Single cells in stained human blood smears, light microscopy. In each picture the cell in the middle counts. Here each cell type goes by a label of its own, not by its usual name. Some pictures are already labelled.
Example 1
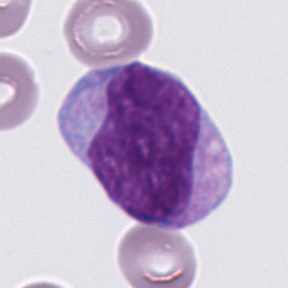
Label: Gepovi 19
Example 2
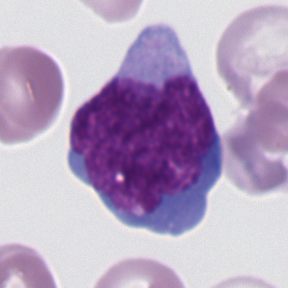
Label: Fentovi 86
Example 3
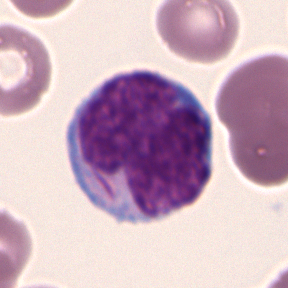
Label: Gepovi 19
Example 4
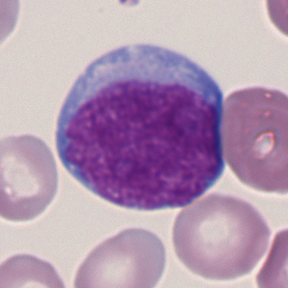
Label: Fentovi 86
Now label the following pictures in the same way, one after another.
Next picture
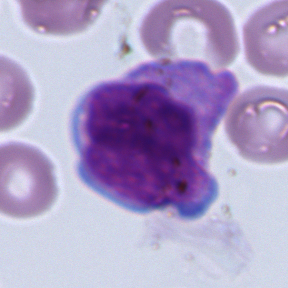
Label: Gepovi 19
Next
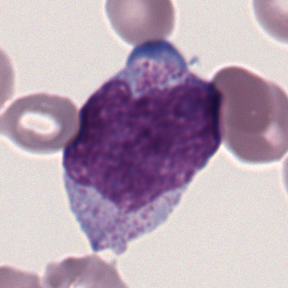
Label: Gepovi 19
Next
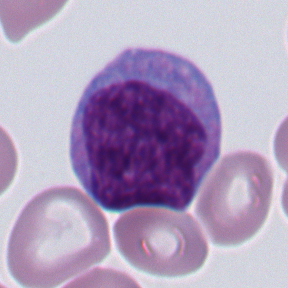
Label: Gepovi 19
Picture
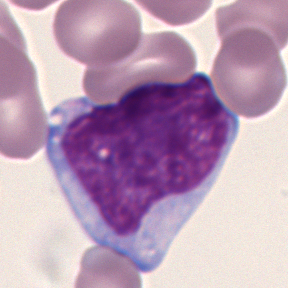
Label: Fentovi 86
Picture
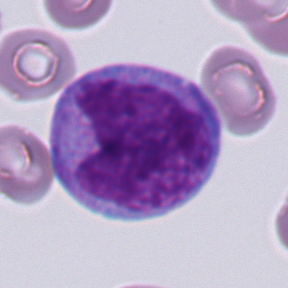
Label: Gepovi 19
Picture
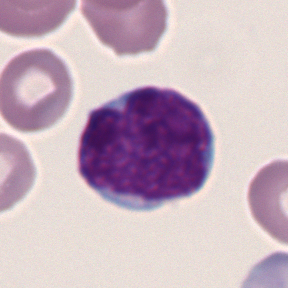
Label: Fentovi 86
